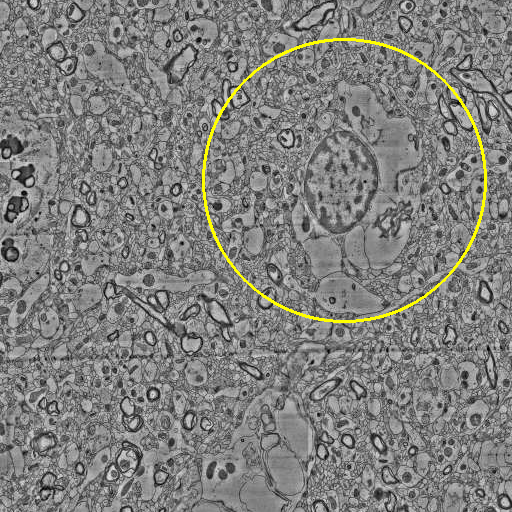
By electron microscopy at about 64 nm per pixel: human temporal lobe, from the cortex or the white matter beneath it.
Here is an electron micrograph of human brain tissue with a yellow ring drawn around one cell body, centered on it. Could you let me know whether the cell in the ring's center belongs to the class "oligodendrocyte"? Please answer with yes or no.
no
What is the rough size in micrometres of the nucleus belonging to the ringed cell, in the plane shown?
Approximately 6 x 5 micrometres in this plane.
